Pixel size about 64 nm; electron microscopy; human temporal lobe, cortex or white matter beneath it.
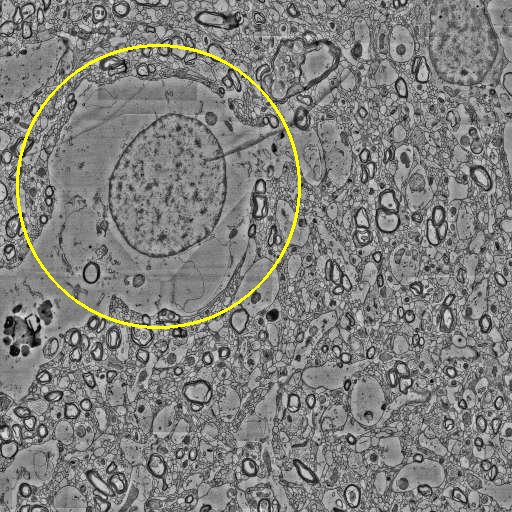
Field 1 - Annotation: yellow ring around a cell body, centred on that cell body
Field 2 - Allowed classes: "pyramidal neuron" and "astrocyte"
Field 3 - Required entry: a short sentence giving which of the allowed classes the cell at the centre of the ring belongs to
The centred cell is an astrocyte.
